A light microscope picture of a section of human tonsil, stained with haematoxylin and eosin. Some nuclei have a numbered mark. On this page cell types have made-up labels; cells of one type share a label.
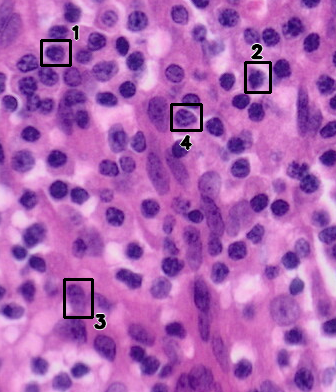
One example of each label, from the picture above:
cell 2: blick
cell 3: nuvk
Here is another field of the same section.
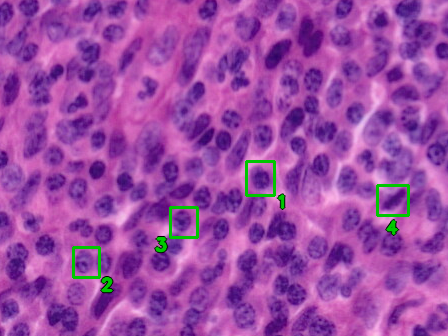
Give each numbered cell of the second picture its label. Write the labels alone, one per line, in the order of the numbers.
blick
blick
blick
nuvk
